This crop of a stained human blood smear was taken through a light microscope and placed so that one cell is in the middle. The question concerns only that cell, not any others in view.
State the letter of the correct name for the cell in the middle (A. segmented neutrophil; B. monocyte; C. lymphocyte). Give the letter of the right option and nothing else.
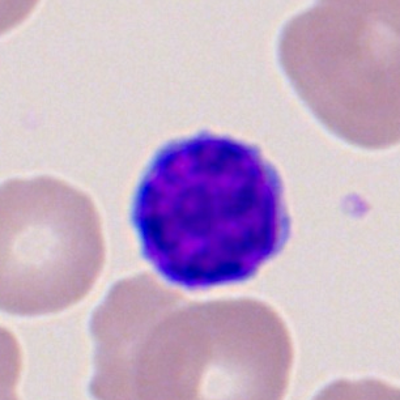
C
